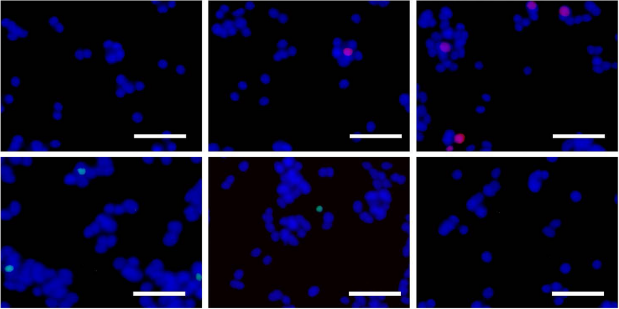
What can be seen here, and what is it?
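The nuclei lie scattered singly and in loose clusters, some touching or overlapping, with no cell outlines or cytoplasm visible. In the upper row a few nuclei carry a red to magenta signal, more of them in the right-hand image than in the others. In the lower row only occasional nuclei show a small bright green signal. Most nuclei in every image show neither colour.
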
